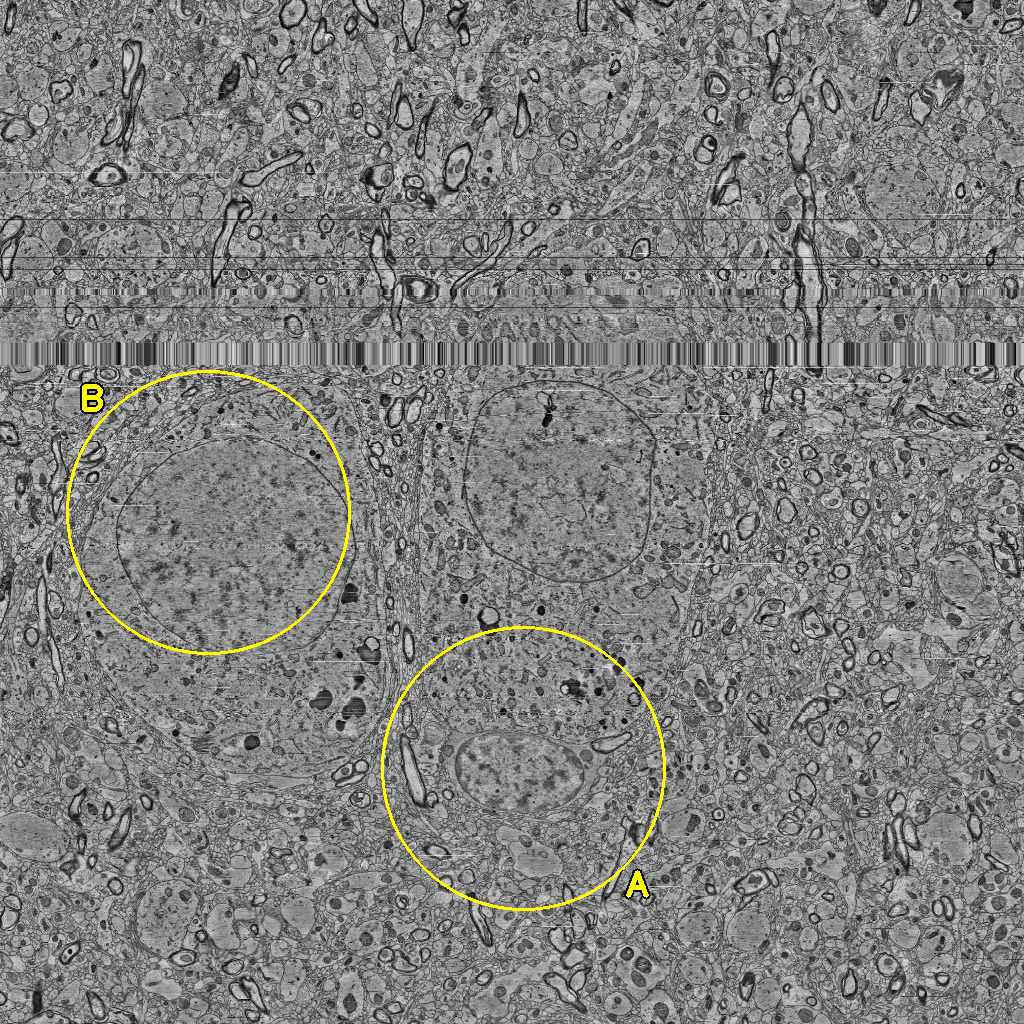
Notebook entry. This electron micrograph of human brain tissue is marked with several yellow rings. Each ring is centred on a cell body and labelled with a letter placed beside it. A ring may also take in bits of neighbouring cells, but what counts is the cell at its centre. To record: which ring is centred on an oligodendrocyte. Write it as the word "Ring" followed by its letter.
Ring A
